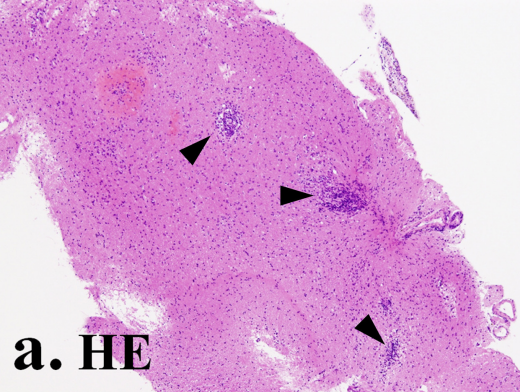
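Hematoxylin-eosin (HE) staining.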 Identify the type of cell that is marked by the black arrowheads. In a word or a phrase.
lymphocytes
